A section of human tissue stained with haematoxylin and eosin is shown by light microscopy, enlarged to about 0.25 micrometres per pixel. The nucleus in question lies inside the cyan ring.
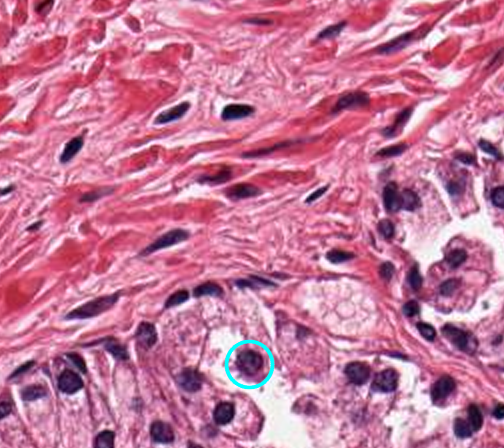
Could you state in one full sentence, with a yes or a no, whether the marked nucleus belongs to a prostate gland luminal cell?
Yes, the marked nucleus is located in a prostate gland luminal cell.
